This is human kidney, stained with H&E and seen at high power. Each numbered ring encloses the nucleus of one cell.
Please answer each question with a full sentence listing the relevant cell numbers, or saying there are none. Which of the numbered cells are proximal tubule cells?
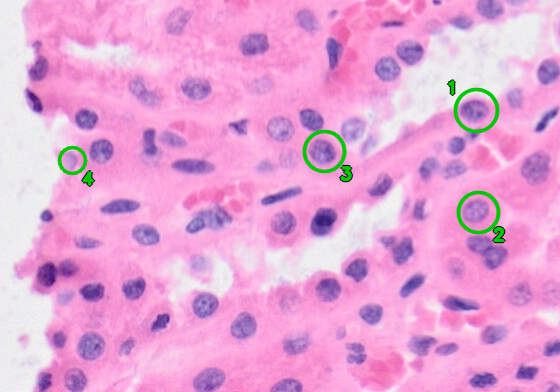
Only nucleus 2 belongs to a proximal tubule cell; the other numbered nuclei do not.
